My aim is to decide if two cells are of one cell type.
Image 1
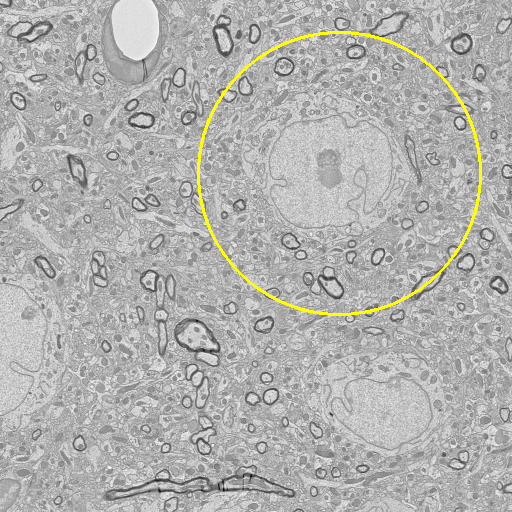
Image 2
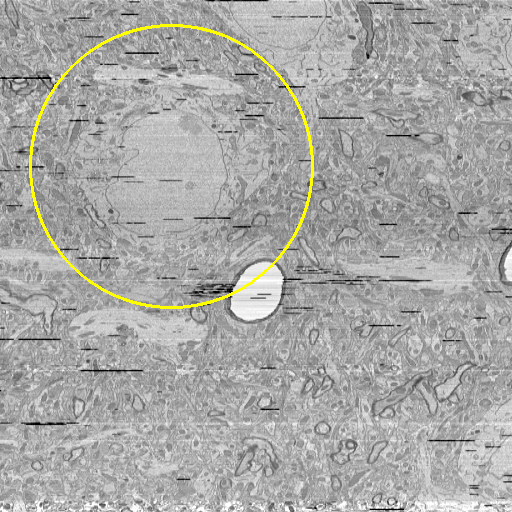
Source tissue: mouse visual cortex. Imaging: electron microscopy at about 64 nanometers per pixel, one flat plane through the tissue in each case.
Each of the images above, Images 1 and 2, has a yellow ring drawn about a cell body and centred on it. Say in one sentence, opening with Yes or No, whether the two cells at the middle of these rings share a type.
No, in Images 1 and 2 the cells at the middle of the rings fall into two types.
